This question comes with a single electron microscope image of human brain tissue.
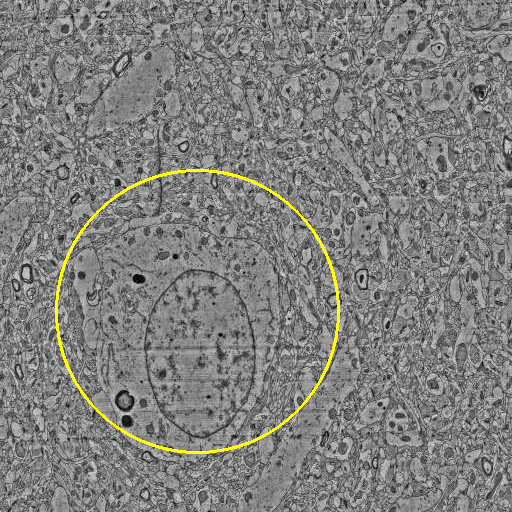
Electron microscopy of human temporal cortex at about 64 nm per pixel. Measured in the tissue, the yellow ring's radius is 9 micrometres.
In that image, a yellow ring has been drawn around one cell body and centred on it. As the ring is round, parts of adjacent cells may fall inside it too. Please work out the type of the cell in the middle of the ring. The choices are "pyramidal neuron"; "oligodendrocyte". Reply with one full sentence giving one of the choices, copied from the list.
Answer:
Of the choices, a pyramidal neuron is the cell sitting in the middle of the ring.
